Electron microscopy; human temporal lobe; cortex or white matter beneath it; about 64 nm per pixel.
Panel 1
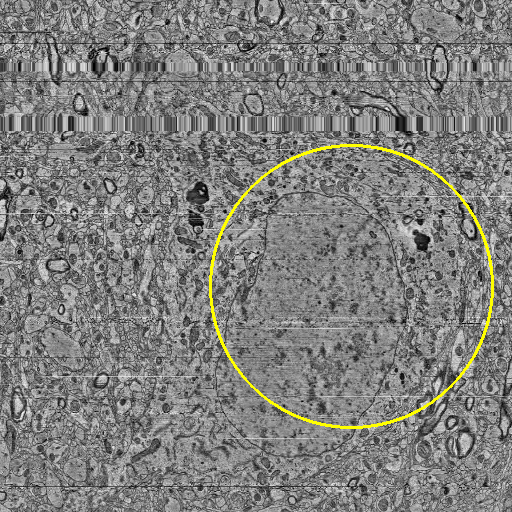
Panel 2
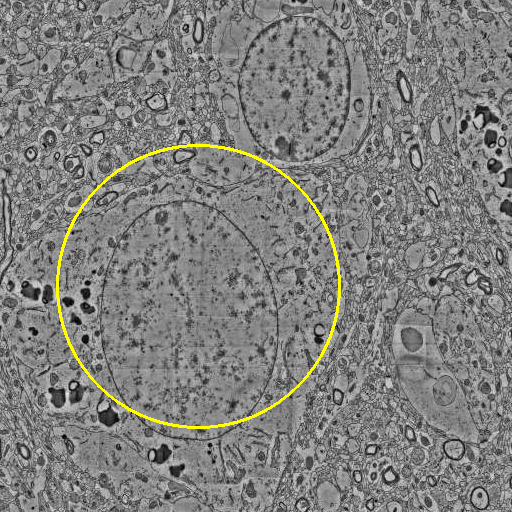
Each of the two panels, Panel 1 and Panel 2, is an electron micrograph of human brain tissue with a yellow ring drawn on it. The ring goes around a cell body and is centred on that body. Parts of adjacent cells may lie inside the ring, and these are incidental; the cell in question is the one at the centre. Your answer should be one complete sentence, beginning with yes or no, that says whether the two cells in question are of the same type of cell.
Yes, the two cells are of the same type.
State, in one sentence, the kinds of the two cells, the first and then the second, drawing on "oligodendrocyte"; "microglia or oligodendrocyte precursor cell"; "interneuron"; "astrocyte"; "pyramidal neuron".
In the first picture and in the second, the ring is centred on a pyramidal neuron.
